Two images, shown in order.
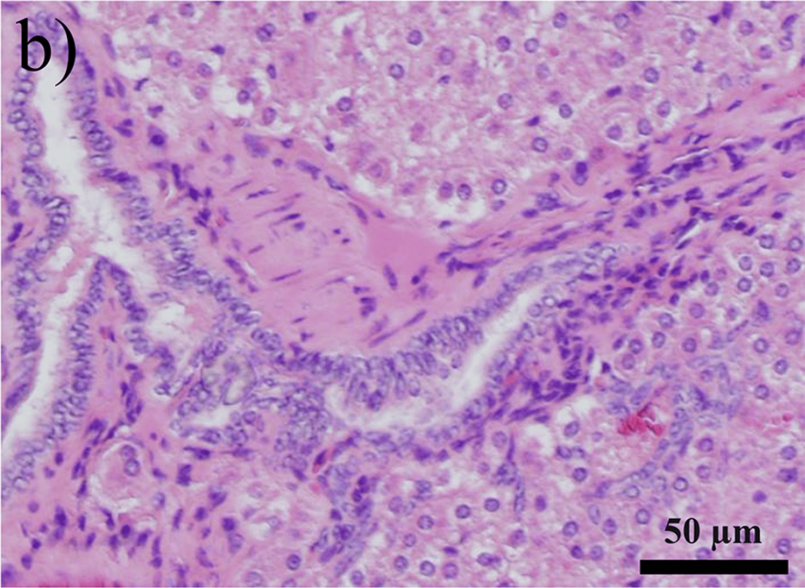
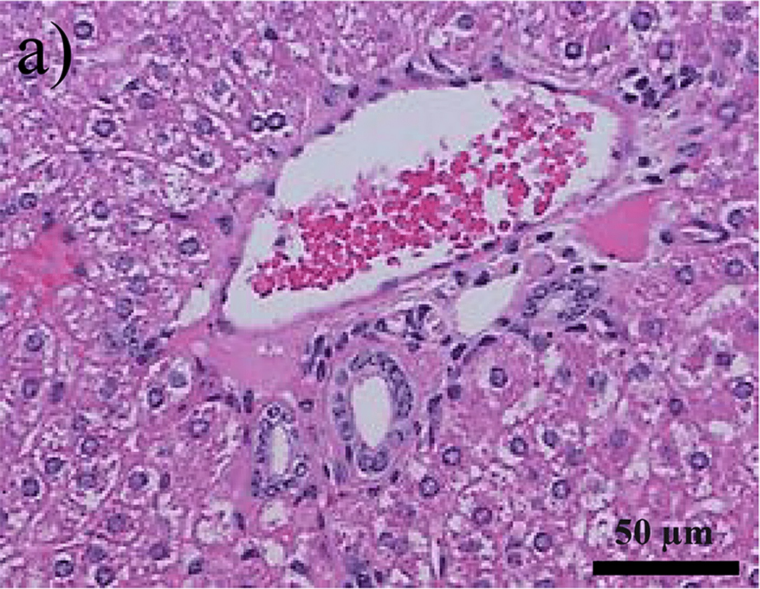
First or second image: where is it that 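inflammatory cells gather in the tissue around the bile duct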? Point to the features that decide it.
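First image: the connective tissue around the ducts holds many small, dark, crowded nuclei. On this evidence: the first image.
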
